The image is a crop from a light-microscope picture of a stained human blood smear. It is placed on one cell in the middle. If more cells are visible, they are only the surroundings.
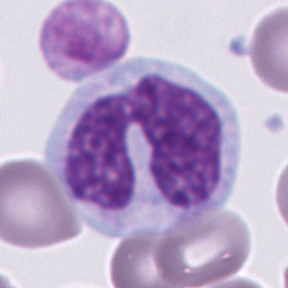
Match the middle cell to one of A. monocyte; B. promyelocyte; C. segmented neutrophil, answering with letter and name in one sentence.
That cell in the center is a monocyte, hence option A.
